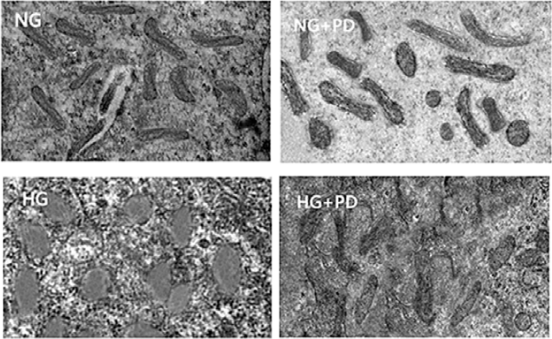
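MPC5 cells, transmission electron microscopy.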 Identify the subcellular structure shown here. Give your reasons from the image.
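Dense membrane-bound organelles scattered in the cytoplasm. Several organelles are elongated rods with faint internal lamellae. The same organelles appear in all four images. The answer: mitochondria.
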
